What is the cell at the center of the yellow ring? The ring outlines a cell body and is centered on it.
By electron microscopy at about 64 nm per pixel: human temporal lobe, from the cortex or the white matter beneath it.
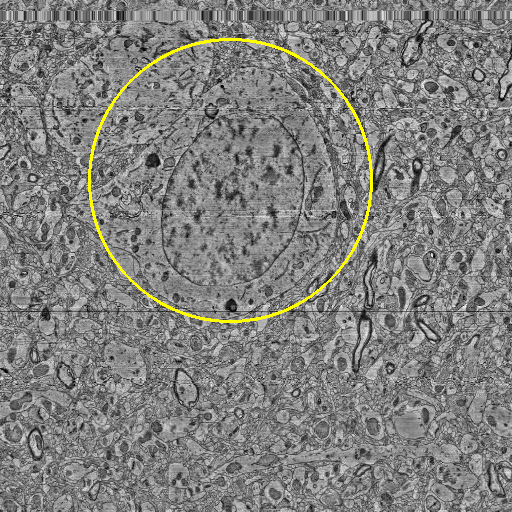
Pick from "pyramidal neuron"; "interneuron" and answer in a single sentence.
The yellow ring is centered on a pyramidal neuron.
